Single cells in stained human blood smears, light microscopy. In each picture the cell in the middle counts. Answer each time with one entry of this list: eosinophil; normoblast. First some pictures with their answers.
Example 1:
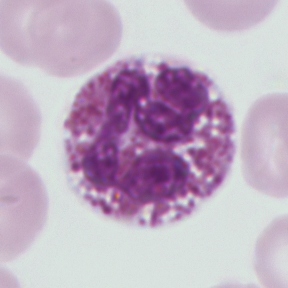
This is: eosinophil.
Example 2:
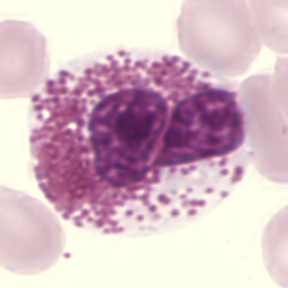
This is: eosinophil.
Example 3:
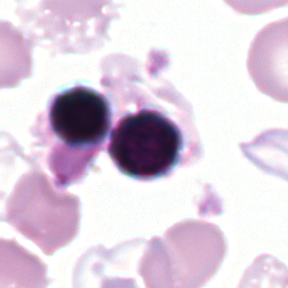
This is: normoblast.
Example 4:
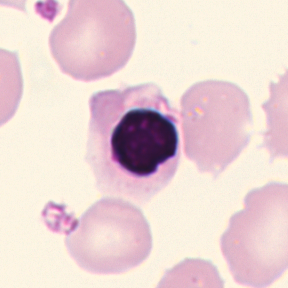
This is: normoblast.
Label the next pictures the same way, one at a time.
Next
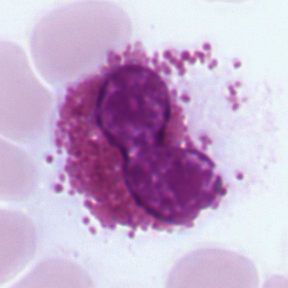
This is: eosinophil.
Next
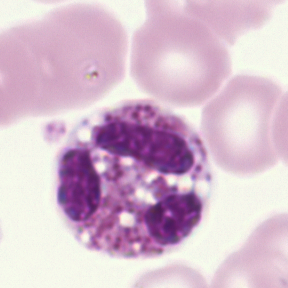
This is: eosinophil.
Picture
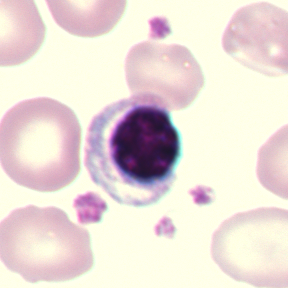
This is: normoblast.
